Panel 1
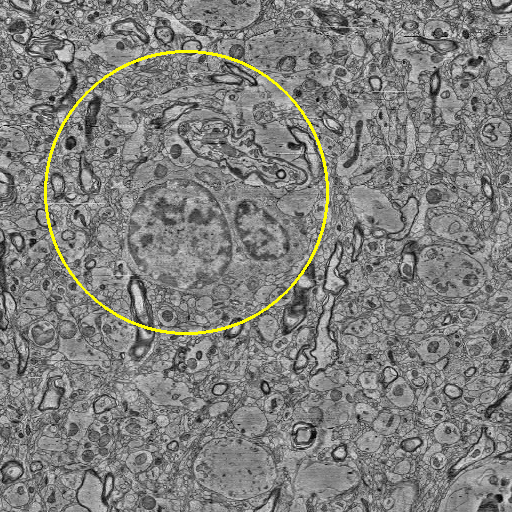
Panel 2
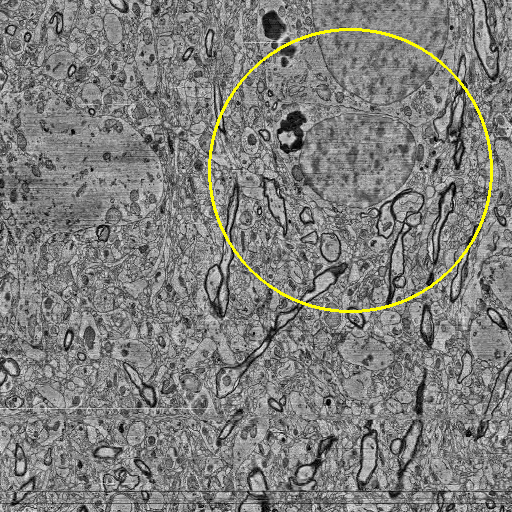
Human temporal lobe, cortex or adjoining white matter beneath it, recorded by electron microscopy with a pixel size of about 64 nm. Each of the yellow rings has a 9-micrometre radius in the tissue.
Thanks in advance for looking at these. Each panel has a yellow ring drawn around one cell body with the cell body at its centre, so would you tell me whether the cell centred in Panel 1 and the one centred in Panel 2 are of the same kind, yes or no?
yes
